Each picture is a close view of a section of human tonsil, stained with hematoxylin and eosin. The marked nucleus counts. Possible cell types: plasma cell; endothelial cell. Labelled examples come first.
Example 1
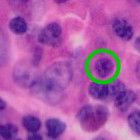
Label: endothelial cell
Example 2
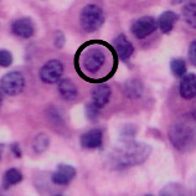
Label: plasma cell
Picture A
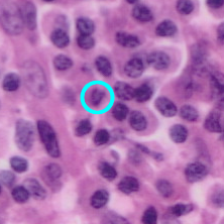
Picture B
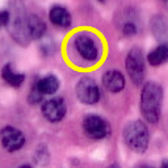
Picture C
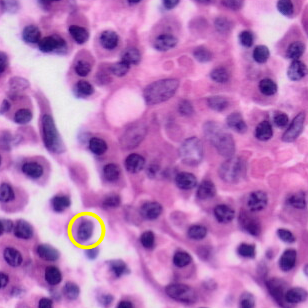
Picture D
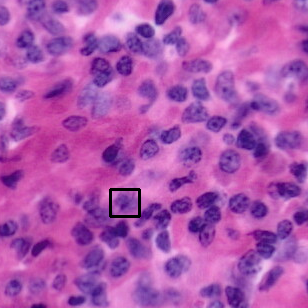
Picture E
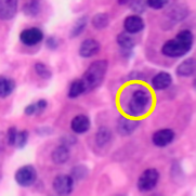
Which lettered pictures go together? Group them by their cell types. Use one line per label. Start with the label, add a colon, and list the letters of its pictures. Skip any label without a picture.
plasma cell: A, B, C, E
endothelial cell: D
